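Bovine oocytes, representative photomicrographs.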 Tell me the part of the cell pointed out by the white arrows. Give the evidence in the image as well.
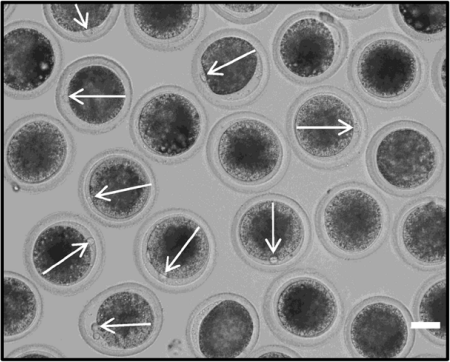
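Arrow tips end at tiny round bodies in the gap between the dark cell and its clear coat.
Conclusion: first polar bodies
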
